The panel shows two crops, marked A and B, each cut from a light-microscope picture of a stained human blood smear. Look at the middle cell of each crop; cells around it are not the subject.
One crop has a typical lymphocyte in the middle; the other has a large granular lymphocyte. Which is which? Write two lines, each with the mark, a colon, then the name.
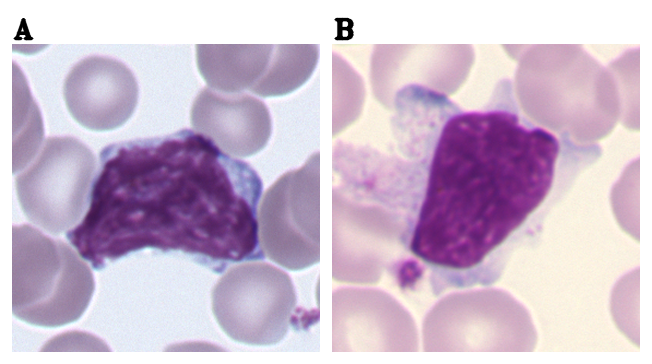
A: typical lymphocyte
B: large granular lymphocyte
